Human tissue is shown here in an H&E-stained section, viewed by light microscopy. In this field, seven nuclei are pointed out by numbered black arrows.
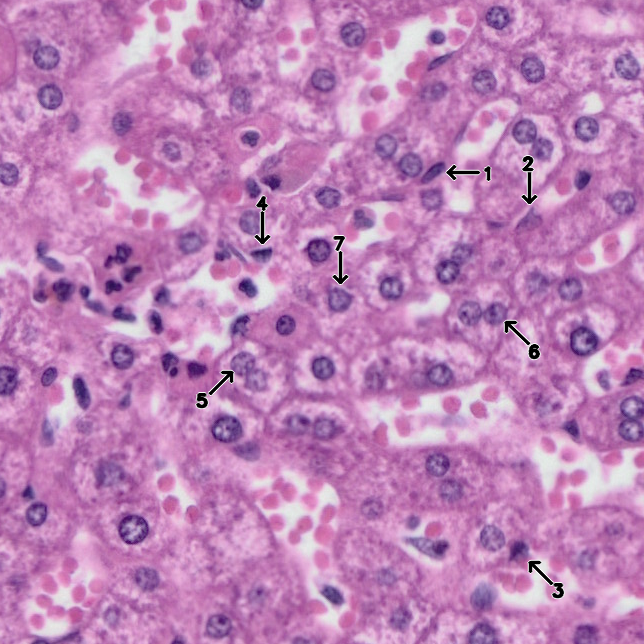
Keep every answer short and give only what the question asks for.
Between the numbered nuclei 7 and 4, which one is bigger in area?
7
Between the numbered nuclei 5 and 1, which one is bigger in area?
5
